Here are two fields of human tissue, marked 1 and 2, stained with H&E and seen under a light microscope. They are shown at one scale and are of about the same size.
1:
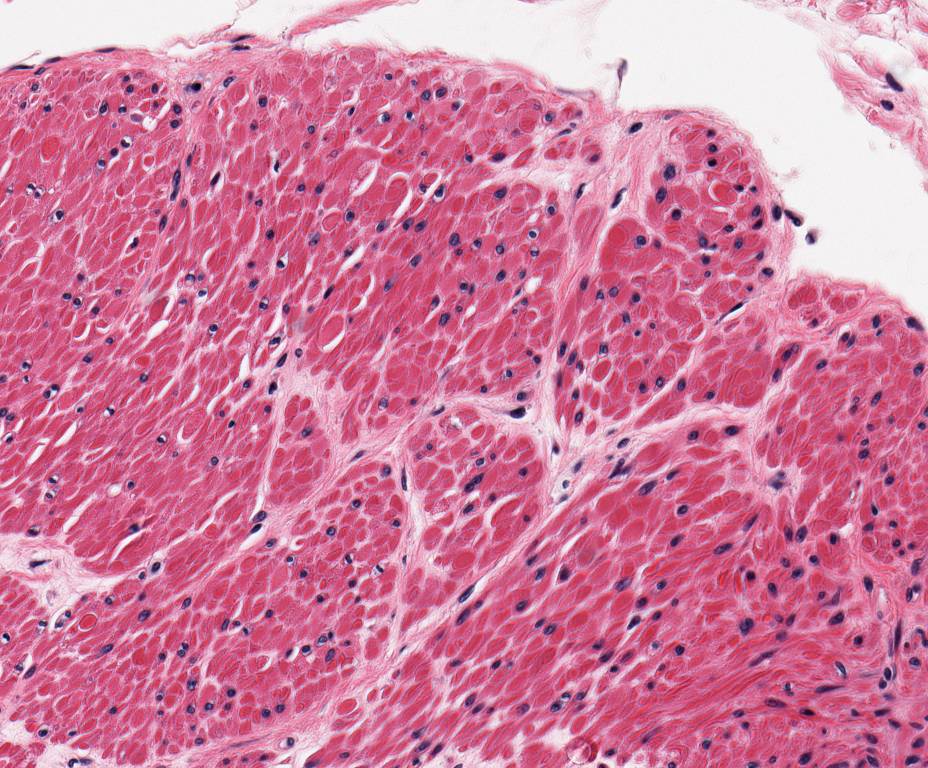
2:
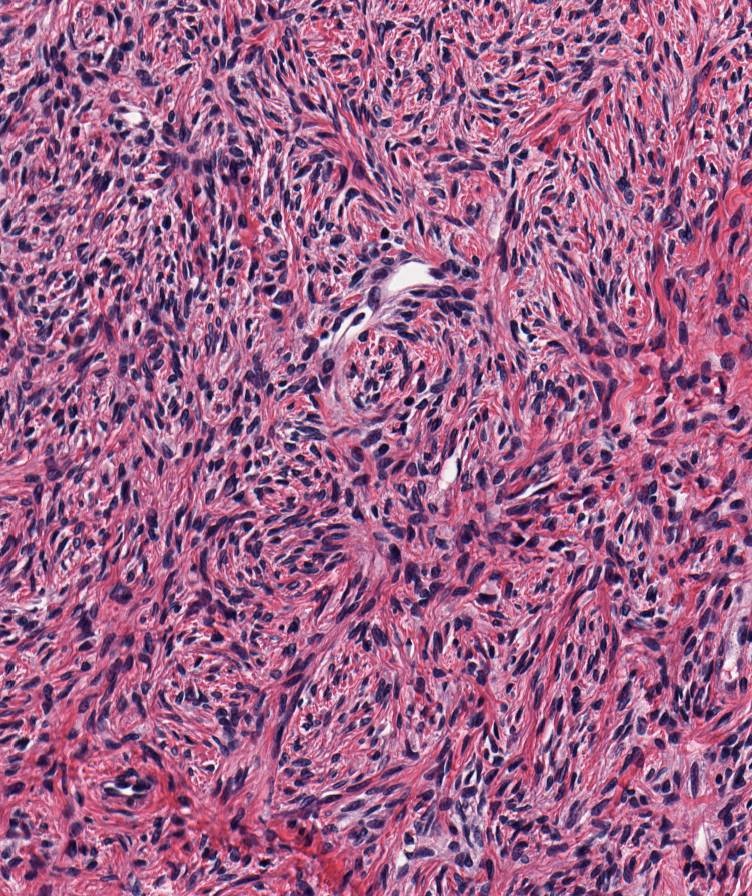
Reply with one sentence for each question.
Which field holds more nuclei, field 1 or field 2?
It is field 2 that has more nuclei in it.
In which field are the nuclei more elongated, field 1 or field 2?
The nuclei are more elongated in field 2.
